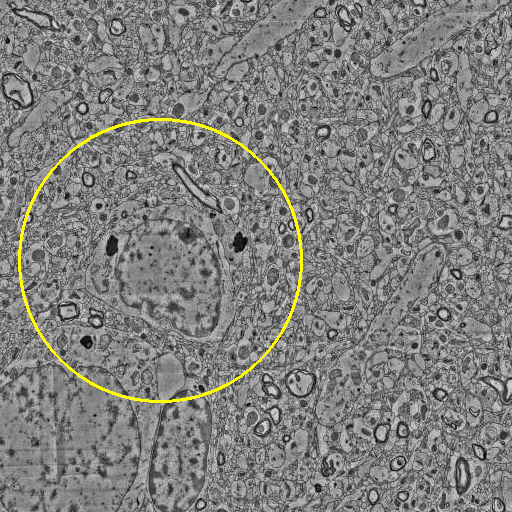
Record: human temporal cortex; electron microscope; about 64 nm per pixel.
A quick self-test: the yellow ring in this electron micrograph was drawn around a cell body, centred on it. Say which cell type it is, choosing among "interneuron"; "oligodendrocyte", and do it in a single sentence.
The yellow-ringed cell is an interneuron.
